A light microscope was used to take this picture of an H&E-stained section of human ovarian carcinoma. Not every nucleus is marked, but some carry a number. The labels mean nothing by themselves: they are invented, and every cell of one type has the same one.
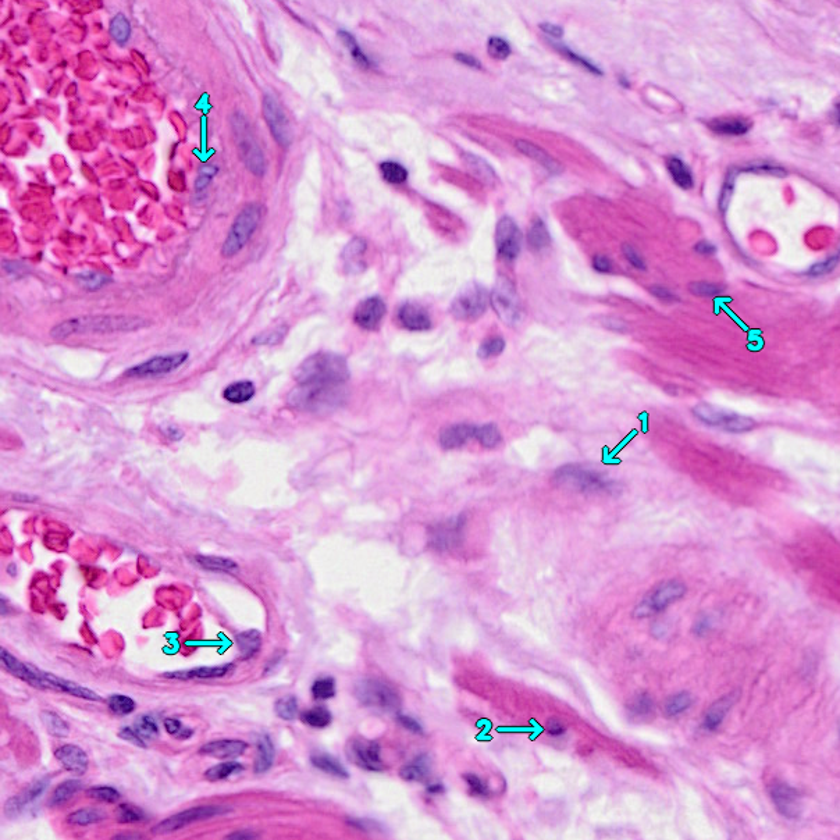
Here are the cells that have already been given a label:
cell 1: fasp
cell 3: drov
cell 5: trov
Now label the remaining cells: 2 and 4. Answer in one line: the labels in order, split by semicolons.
trov; drov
